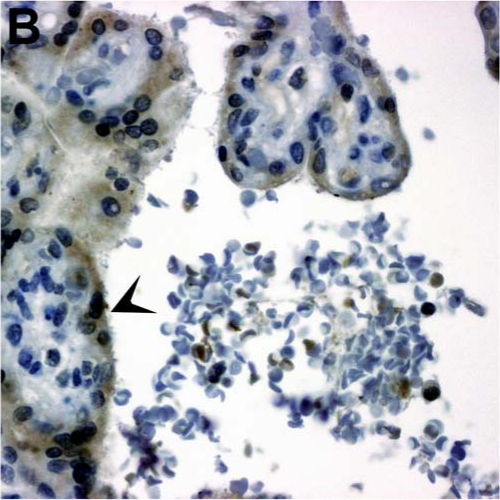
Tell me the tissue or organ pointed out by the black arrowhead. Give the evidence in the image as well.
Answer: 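The arrowhead points at the outer layer of a villus with a row of dark nuclei. The layer borders a space containing scattered anucleate red cells. The cytoplasm of this layer is tinted brown. The answer: syncytiotrophoblast.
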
